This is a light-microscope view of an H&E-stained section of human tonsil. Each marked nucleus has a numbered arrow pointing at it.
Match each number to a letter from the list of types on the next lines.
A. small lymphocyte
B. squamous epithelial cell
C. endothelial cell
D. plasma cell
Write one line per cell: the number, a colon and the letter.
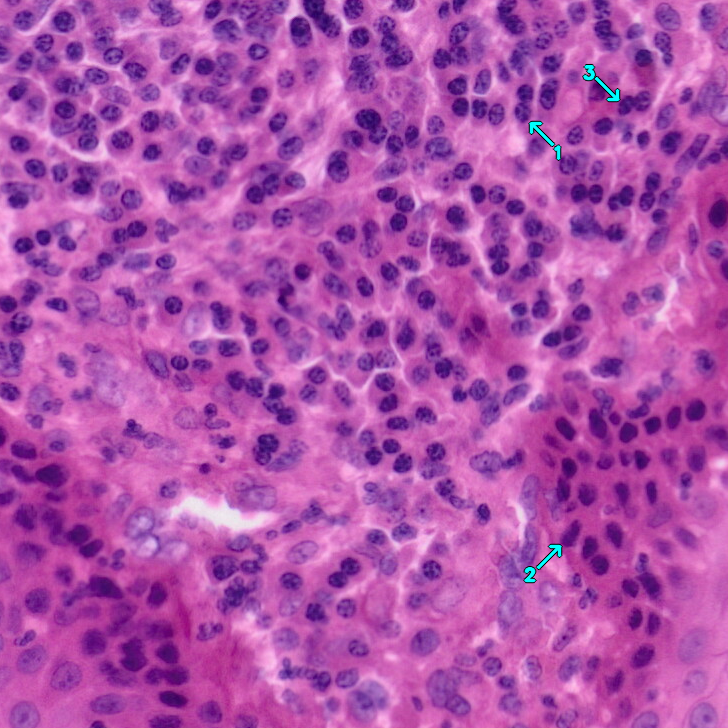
1: D
2: B
3: D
